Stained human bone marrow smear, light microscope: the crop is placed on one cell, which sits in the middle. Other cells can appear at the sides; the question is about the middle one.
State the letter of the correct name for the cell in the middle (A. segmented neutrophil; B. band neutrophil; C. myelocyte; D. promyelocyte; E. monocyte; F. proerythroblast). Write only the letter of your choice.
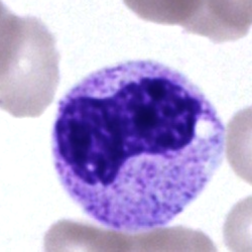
B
